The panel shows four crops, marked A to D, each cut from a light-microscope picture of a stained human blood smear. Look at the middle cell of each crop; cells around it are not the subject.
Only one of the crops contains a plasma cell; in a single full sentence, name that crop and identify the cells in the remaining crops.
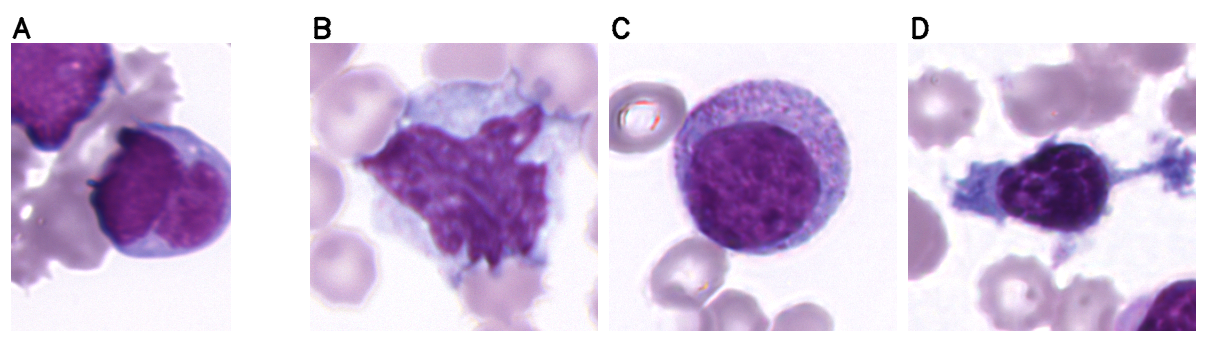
The central cell of crop D is identified as a plasma cell, while crop A is a blast, crop B is a monocyte and crop C is a promyelocyte.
